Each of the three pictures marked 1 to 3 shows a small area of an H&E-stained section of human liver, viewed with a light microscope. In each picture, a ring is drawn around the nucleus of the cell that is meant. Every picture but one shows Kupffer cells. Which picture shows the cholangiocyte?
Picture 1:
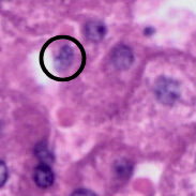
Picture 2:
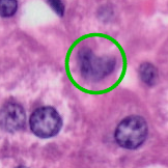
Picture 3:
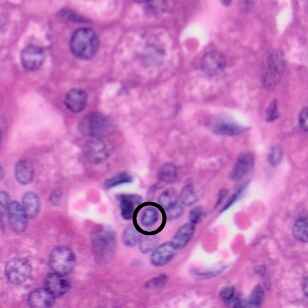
3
